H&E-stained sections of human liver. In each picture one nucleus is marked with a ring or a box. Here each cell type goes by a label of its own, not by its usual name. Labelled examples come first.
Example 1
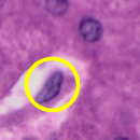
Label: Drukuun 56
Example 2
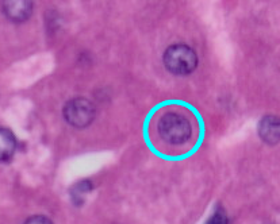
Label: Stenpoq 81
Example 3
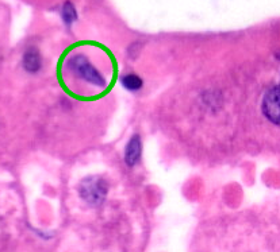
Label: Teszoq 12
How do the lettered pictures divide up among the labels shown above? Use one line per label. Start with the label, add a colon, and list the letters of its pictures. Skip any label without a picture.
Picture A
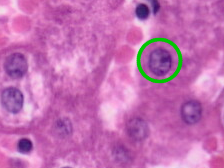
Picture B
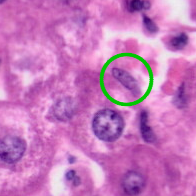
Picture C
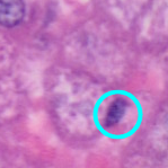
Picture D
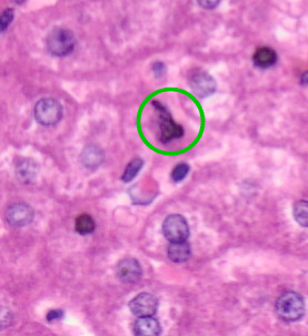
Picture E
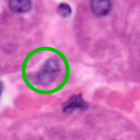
Drukuun 56: B, D, E
Stenpoq 81: A
Teszoq 12: C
